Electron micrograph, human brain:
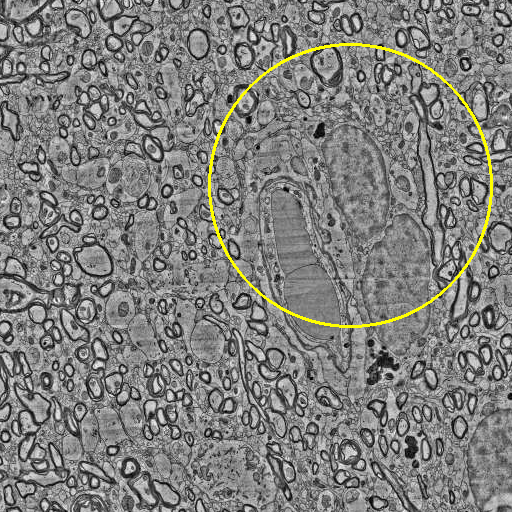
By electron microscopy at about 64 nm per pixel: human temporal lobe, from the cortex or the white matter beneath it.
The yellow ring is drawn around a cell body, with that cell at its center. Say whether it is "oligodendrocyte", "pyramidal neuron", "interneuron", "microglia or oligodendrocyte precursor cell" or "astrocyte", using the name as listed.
oligodendrocyte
